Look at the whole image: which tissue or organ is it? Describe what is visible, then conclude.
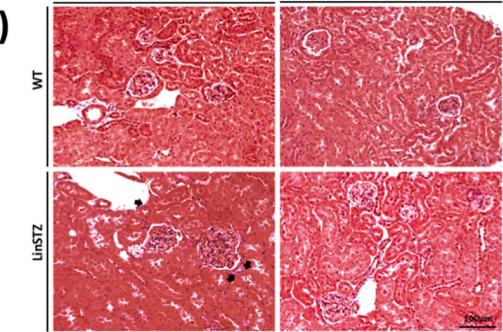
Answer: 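Round tufted capillary bodies sit among densely packed tubules. Tubule cross-sections with lumens fill the field.
Answer: kidney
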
